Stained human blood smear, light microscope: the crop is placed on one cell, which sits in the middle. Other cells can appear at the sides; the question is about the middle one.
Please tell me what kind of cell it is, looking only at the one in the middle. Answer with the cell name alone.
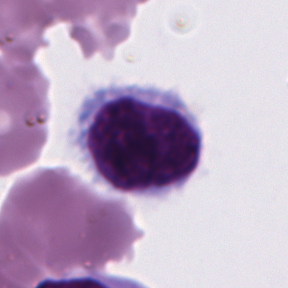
hairy cell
